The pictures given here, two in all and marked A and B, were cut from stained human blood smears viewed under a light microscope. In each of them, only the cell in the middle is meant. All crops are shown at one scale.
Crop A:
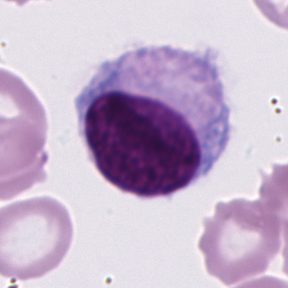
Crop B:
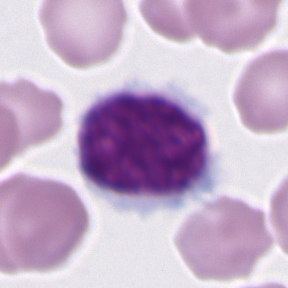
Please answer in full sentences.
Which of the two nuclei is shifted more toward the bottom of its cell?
The nucleus in crop A lies further toward the bottom of its cell.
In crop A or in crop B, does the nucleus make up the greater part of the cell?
It is the cell in crop B that is filled more by its nucleus.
